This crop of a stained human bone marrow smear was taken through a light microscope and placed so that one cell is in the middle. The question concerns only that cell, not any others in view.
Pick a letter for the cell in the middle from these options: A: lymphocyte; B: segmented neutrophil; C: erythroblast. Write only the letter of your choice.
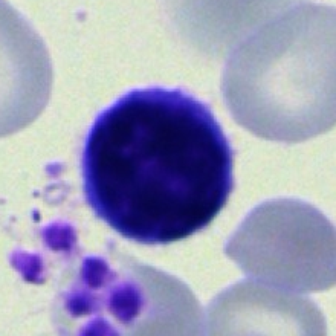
A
